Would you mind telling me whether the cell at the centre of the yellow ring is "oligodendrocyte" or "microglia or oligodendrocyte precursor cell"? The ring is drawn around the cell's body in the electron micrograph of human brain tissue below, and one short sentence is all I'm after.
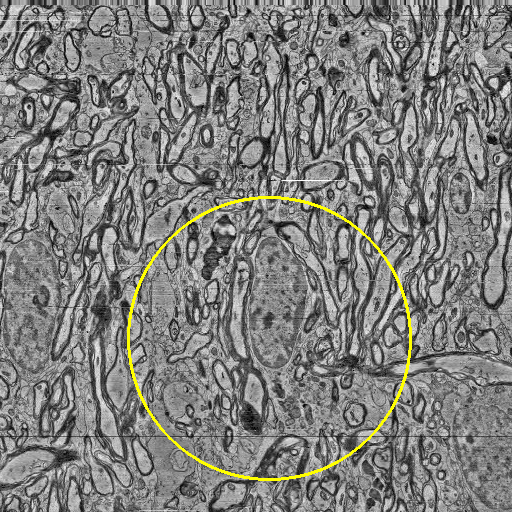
In the centre of the ring lies a microglial cell or oligodendrocyte precursor cell.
